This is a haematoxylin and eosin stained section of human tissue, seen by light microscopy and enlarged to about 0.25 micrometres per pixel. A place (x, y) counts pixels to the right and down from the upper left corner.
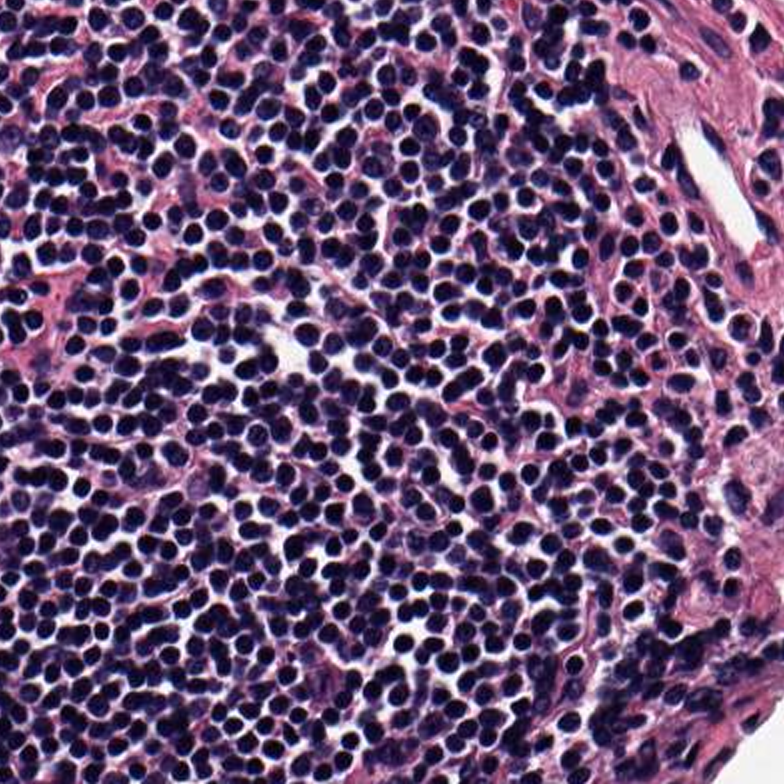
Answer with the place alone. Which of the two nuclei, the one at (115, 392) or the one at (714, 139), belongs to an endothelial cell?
(714, 139)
